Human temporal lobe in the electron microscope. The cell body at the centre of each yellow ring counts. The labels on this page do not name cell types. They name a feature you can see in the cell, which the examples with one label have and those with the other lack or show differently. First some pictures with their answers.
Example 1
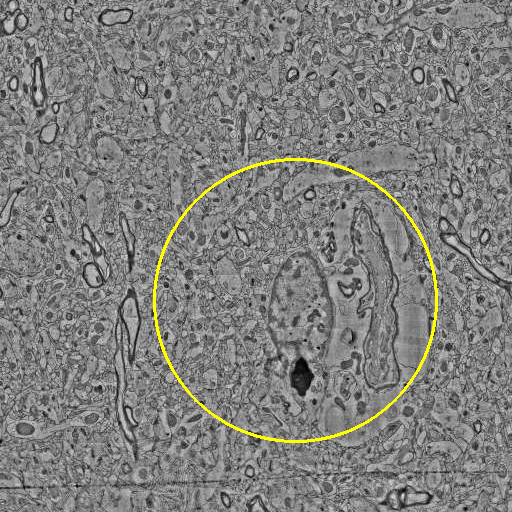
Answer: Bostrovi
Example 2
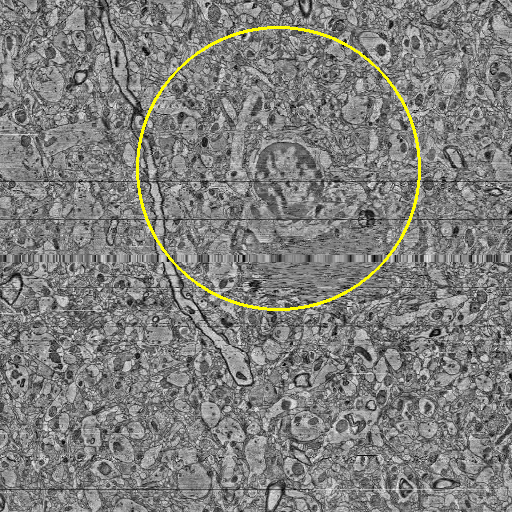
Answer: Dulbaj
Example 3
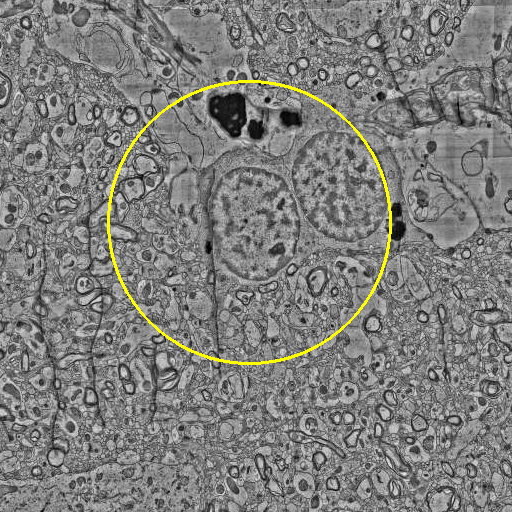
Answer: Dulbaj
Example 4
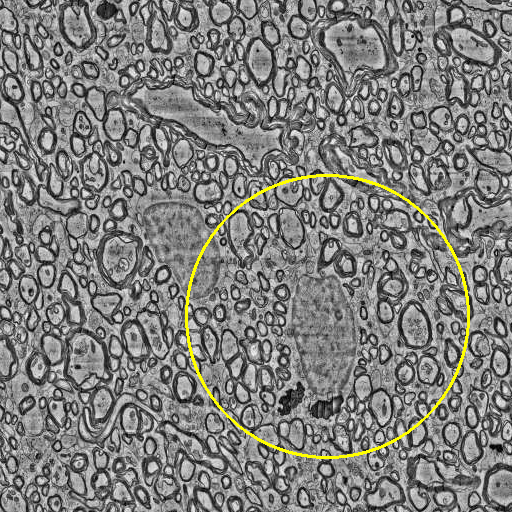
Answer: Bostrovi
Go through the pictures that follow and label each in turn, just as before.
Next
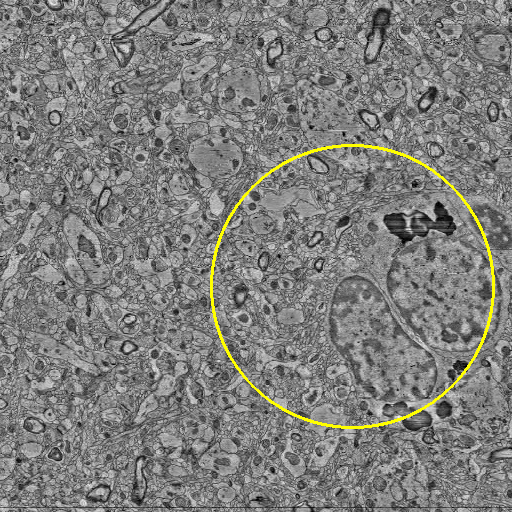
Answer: Bostrovi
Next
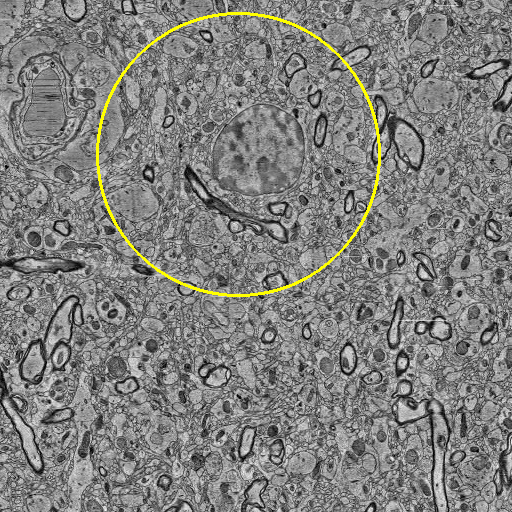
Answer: Dulbaj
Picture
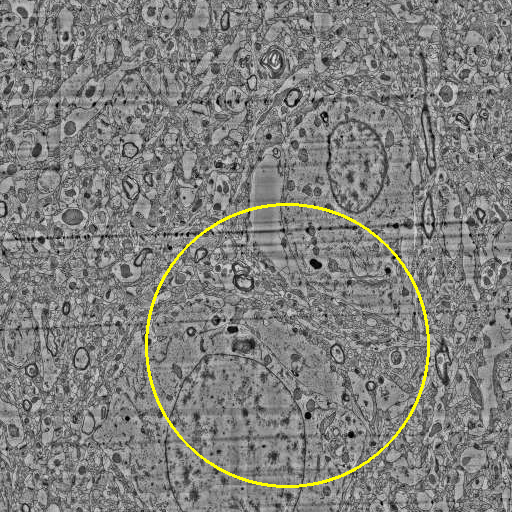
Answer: Dulbaj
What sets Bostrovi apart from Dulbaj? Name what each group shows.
Bostrovi: clearly elongated nuclei; Dulbaj: round or nearly round nuclei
